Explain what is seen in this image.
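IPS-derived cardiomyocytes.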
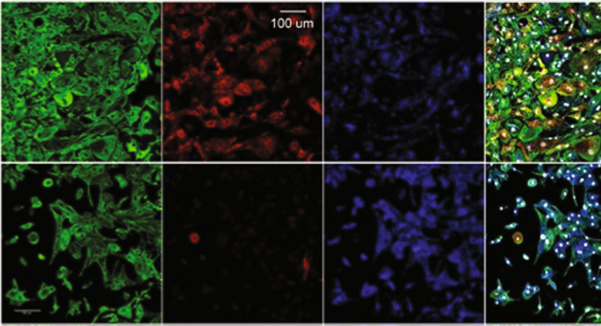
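In the upper row, red fills many of the same cells, so the merged image looks largely yellow-orange. In the lower row, red is nearly absent, apart from a few scattered cells. Blue, by contrast, is spread throughout the field. The merged lower image is therefore green-blue, with small bright nuclear dots scattered across it.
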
